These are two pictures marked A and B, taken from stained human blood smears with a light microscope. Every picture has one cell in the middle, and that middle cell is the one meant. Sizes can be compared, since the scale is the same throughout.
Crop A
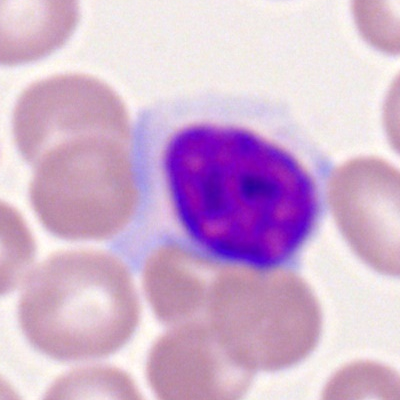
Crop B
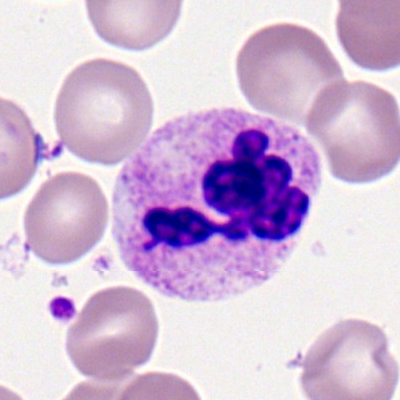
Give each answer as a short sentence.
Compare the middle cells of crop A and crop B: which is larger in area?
Larger is the cell in crop B, at roughly 1.5 times the area of the other.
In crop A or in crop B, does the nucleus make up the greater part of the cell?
It is the cell in crop A that is filled more by its nucleus.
